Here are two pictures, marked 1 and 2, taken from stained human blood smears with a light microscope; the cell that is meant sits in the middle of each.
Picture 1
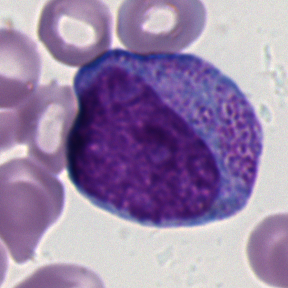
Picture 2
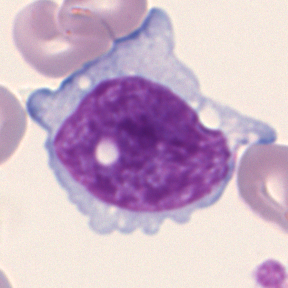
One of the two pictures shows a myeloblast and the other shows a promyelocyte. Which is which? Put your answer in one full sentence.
Picture 1 is of a promyelocyte, and picture 2 is of a myeloblast.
